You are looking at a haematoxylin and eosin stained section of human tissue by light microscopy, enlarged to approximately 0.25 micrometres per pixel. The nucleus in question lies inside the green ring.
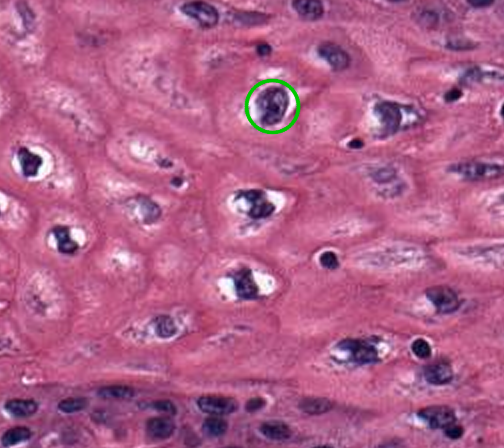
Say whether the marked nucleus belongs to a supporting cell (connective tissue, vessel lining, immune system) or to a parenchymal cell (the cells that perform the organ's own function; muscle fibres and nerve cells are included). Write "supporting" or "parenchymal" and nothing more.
parenchymal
